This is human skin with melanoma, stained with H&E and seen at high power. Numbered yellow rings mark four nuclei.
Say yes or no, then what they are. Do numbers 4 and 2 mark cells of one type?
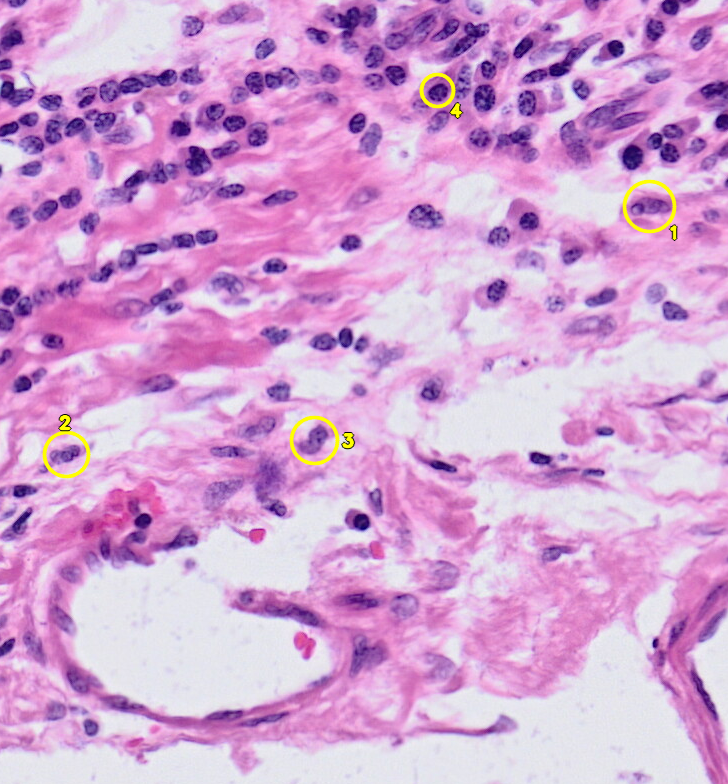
No, in contrast to cell 2, which is a macrophage or monocyte, cell 4 is a plasma cell.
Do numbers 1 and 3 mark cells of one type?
Yes, it is true that cells 1 and 3 are both macrophages or monocytes.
